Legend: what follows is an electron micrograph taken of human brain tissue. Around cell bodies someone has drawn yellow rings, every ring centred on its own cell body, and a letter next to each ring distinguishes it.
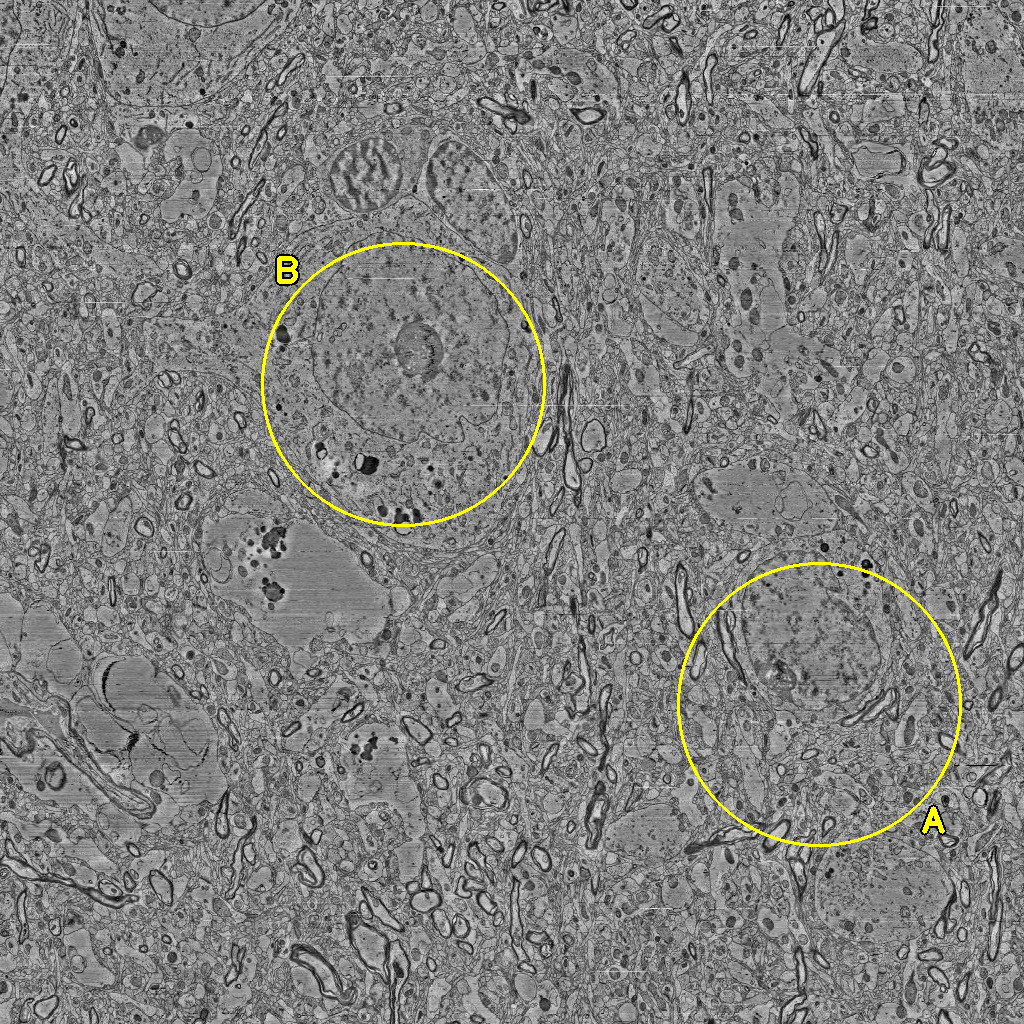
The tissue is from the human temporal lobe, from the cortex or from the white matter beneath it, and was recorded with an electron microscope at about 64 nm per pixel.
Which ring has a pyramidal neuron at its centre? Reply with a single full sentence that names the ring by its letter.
Ring B is the one centred on the cell asked for in the picture.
